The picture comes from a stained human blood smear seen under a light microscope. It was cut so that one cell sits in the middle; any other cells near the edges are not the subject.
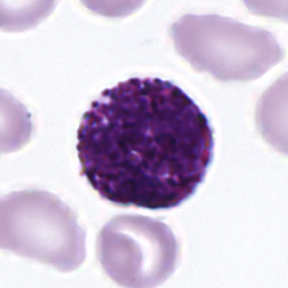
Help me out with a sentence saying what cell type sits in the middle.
The middle of this crop is occupied by a basophil.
